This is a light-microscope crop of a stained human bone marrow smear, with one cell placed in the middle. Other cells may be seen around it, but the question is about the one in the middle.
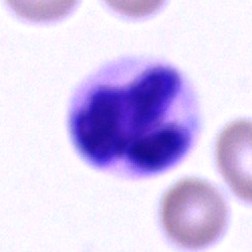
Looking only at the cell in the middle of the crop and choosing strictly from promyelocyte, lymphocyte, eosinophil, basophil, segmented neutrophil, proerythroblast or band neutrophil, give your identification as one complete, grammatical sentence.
The cell at the central position in this crop is a segmented neutrophil.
